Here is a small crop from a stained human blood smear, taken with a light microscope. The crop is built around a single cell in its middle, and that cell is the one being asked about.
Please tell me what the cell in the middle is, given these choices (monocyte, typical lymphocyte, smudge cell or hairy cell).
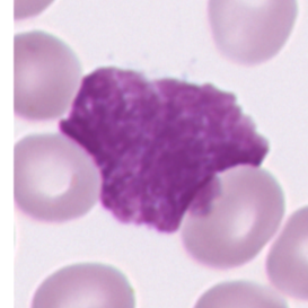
smudge cell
